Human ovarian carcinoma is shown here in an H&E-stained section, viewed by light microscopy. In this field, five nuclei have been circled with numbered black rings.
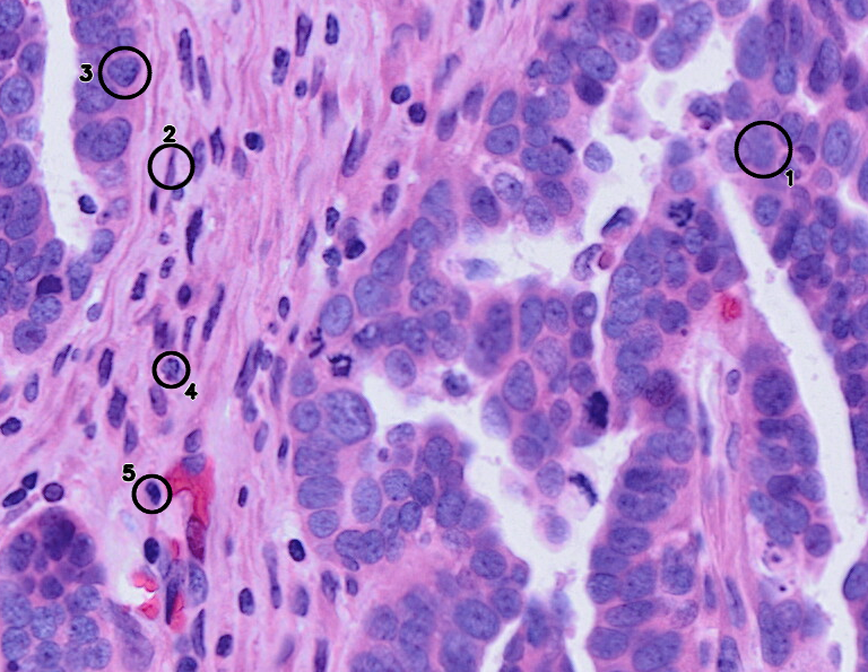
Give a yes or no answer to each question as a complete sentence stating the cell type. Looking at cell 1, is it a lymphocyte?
No, cell 1 should be read as a carcinoma cell instead of a lymphocyte.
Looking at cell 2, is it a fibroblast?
Yes, with respect to number 2, the cell is a fibroblast.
